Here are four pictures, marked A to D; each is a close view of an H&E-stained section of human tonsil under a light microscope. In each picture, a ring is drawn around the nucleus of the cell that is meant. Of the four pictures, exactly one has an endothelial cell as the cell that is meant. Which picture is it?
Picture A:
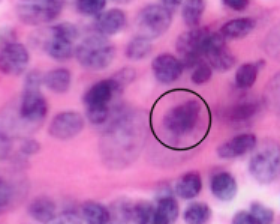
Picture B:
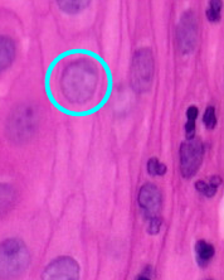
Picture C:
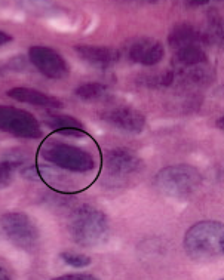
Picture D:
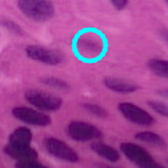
A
